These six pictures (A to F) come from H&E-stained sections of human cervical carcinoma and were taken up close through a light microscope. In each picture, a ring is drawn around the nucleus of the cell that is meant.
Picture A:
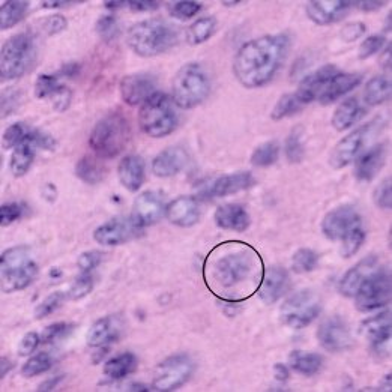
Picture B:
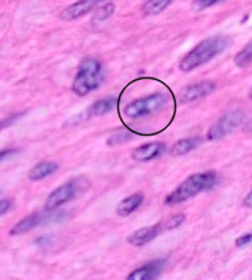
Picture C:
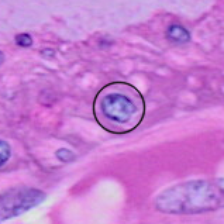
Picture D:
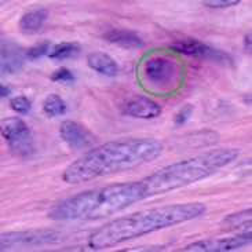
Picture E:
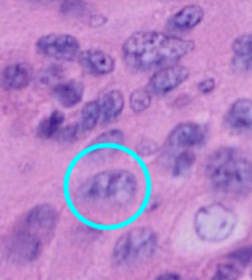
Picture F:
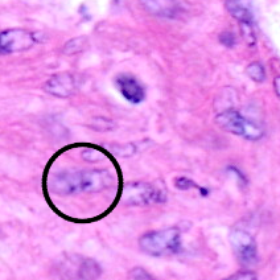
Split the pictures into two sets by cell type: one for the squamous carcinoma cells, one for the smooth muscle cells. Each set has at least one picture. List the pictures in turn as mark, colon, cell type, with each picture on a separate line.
A: squamous carcinoma cell
B: smooth muscle cell
C: smooth muscle cell
D: smooth muscle cell
E: squamous carcinoma cell
F: smooth muscle cell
